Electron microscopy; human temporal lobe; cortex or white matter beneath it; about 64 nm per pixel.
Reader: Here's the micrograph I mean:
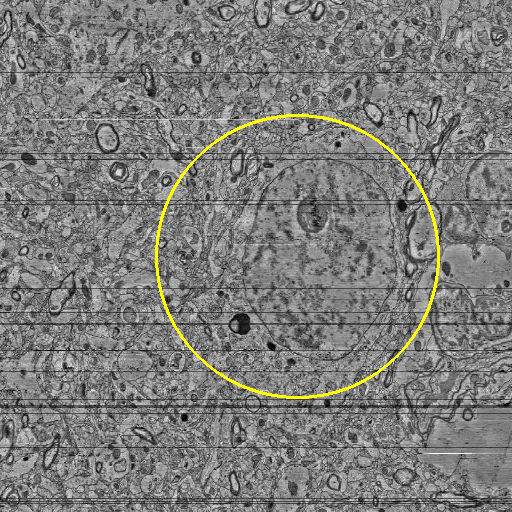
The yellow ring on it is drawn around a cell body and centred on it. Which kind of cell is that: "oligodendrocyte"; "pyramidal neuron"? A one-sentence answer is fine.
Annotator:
The ring is centred on a pyramidal neuron.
